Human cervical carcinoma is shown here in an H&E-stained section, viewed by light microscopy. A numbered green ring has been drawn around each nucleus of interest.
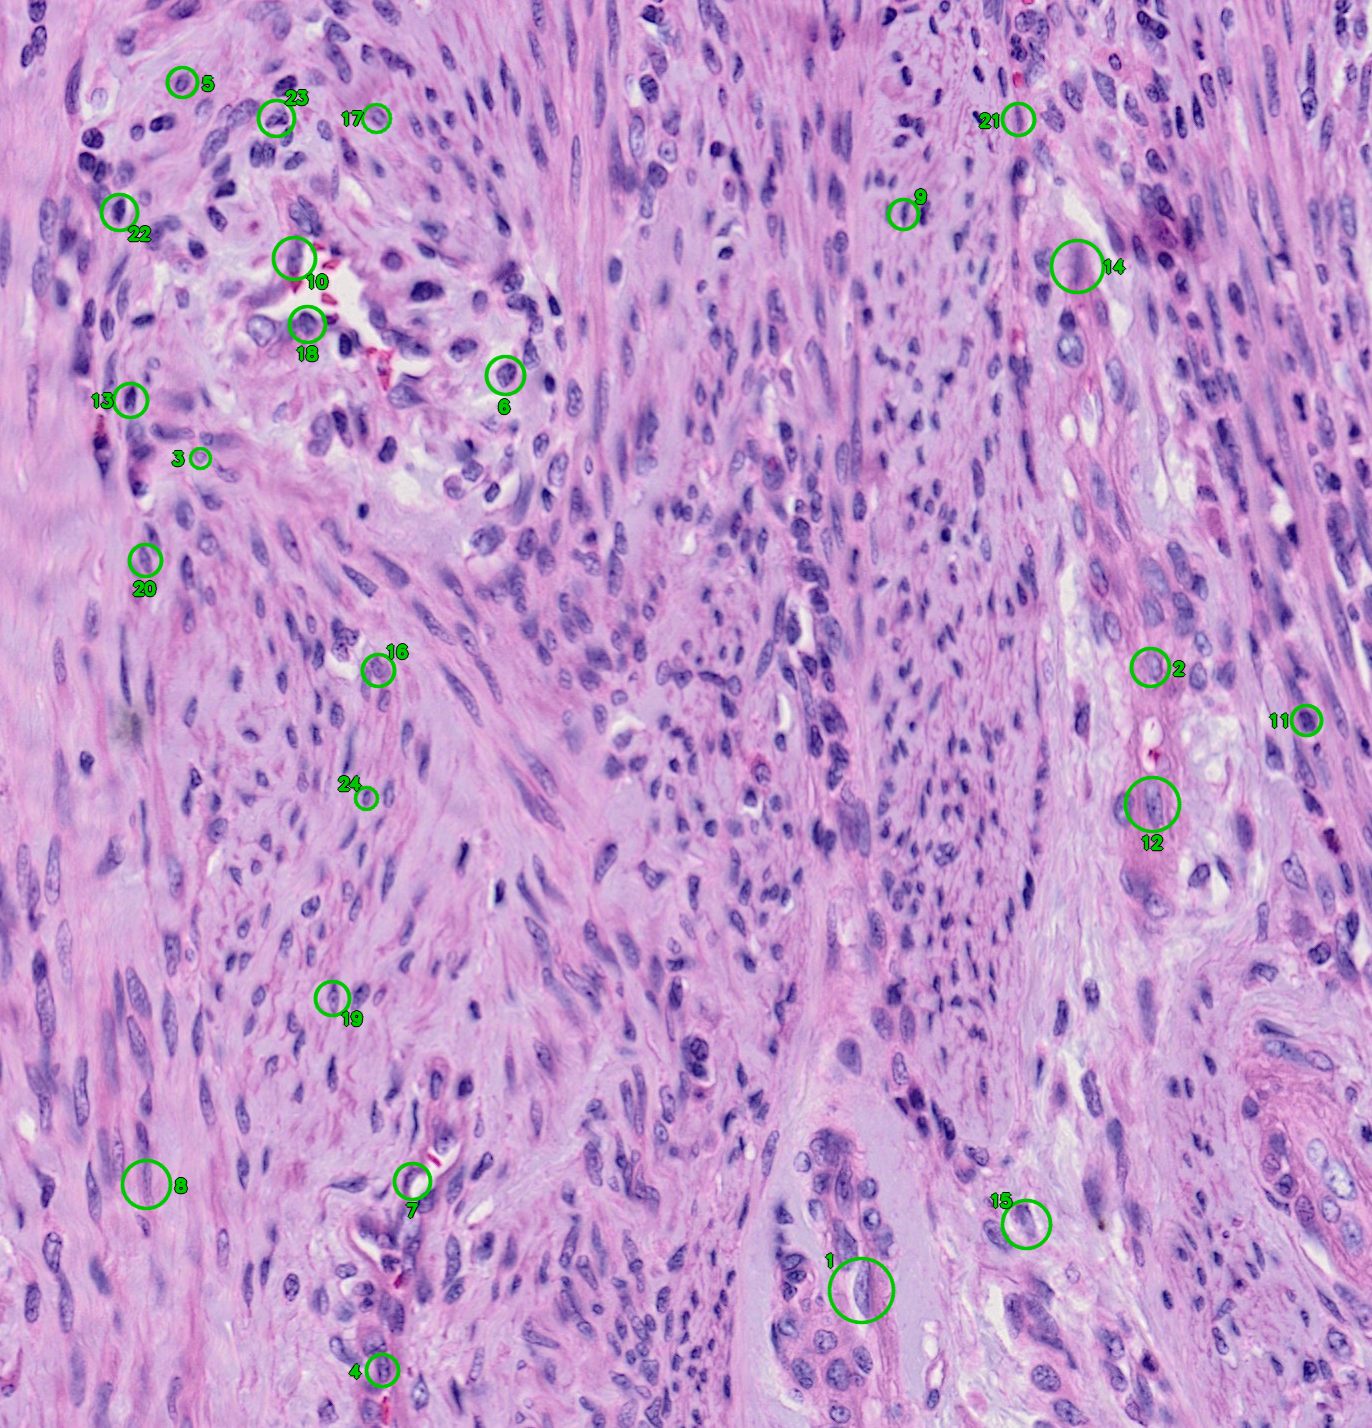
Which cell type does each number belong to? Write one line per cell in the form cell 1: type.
cell 1: endothelial cell
cell 2: endothelial cell
cell 3: smooth muscle cell
cell 4: endothelial cell
cell 5: smooth muscle cell
cell 6: lymphocyte
cell 7: endothelial cell
cell 8: smooth muscle cell
cell 9: fibroblast
cell 10: endothelial cell
cell 11: lymphocyte
cell 12: endothelial cell
cell 13: lymphocyte
cell 14: endothelial cell
cell 15: macrophage or monocyte
cell 16: smooth muscle cell
cell 17: smooth muscle cell
cell 18: endothelial cell
cell 19: smooth muscle cell
cell 20: smooth muscle cell
cell 21: endothelial cell
cell 22: lymphocyte
cell 23: lymphocyte
cell 24: smooth muscle cell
